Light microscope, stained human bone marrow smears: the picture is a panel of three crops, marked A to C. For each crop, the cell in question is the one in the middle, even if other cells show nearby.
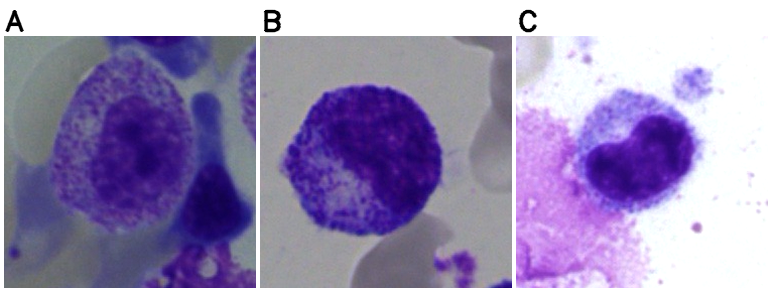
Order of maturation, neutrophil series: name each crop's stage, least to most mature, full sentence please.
Least mature first and most mature last, the sequence is crop B (a promyelocyte), crop A (a myelocyte) and crop C (a metamyelocyte).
